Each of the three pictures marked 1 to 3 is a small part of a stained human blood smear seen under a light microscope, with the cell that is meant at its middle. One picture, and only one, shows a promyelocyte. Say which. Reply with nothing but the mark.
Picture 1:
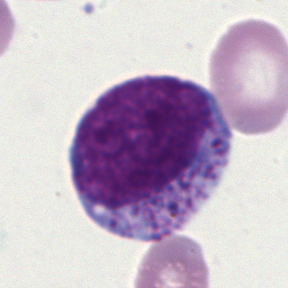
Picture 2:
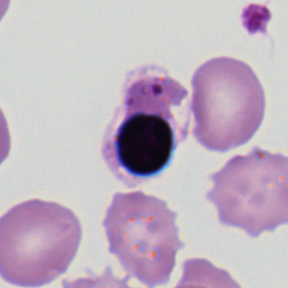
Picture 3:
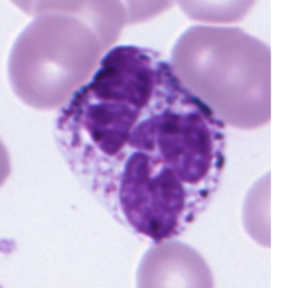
1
